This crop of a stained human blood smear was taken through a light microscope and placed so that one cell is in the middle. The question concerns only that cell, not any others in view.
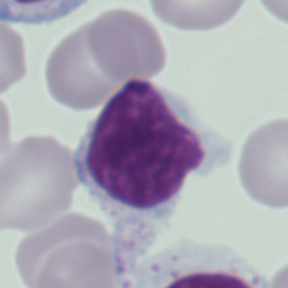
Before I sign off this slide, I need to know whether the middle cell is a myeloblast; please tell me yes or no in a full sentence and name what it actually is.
No, the cell in the middle is categorised as a large granular lymphocyte, not a myeloblast.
